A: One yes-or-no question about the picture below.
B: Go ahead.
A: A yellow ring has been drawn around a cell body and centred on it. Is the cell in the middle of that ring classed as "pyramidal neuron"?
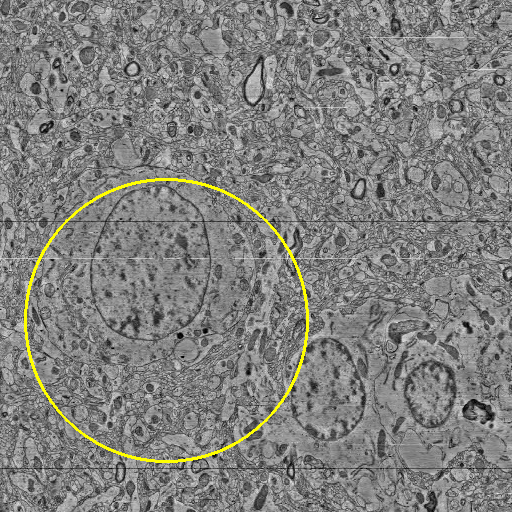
Yes, it is classed that way.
